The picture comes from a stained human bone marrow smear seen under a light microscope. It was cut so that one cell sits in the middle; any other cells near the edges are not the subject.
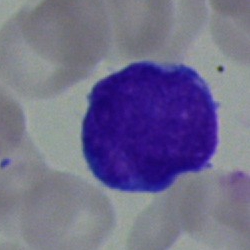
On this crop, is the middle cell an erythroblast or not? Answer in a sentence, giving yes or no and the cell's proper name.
No, the central cell here is a blast; calling it an erythroblast is not right.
